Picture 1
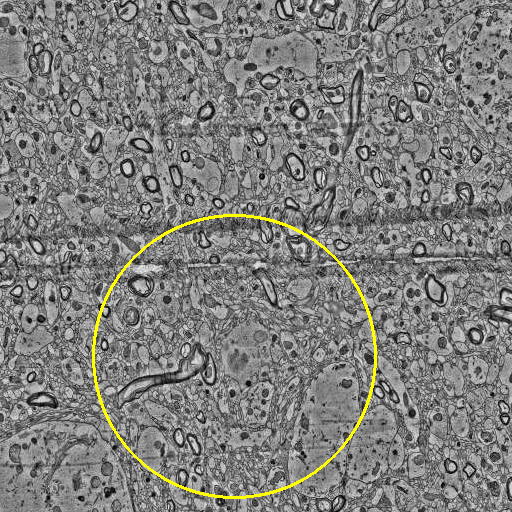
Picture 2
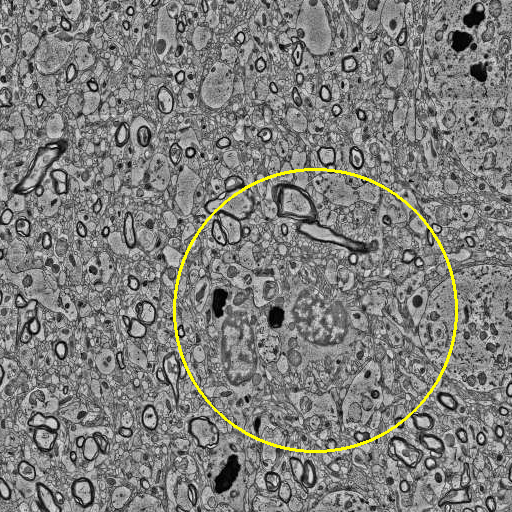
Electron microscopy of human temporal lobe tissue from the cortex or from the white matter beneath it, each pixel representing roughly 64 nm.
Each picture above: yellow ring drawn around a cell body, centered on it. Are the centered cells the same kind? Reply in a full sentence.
Yes, the two cells are the same kind.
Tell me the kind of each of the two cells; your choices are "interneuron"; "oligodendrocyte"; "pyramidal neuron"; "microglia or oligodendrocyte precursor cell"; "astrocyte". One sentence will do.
Each of the two pictures has an oligodendrocyte at the ring centre.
